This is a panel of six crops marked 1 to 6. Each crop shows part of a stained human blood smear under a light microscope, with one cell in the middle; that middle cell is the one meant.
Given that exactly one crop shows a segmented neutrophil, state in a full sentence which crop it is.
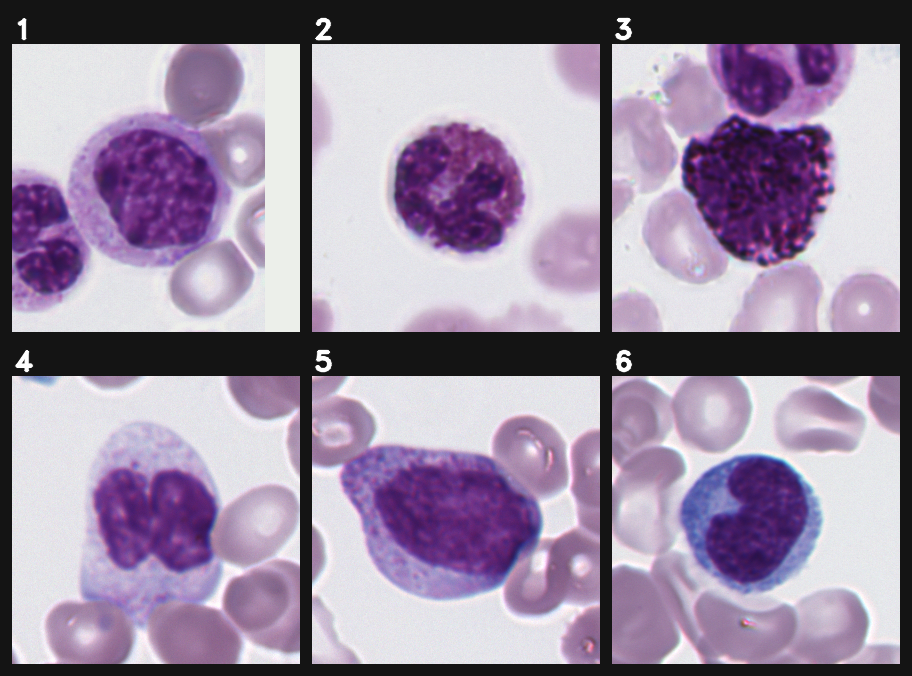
Within this set, crop 4 is the one with a segmented neutrophil at its center.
